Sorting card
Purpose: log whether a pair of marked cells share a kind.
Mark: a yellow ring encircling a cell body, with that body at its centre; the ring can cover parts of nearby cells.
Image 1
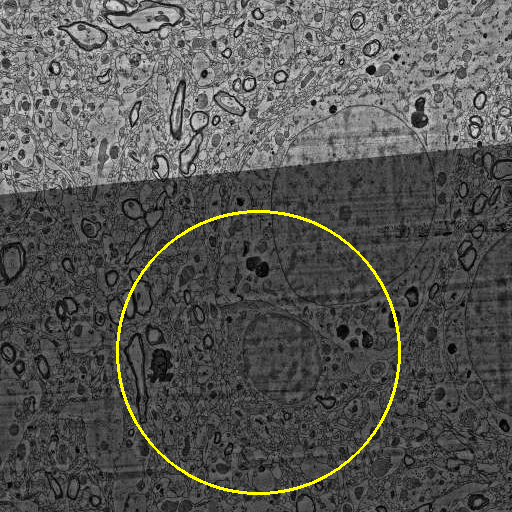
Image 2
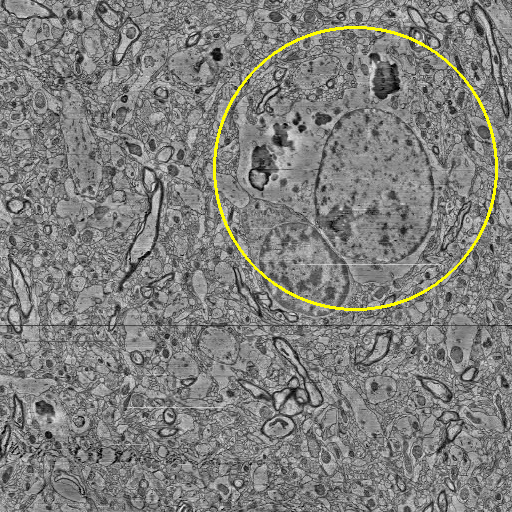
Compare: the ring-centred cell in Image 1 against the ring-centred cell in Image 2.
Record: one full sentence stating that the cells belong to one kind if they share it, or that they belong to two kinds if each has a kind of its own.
Across Images 1 and 2, the two ring-centred cells belong to two kinds.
